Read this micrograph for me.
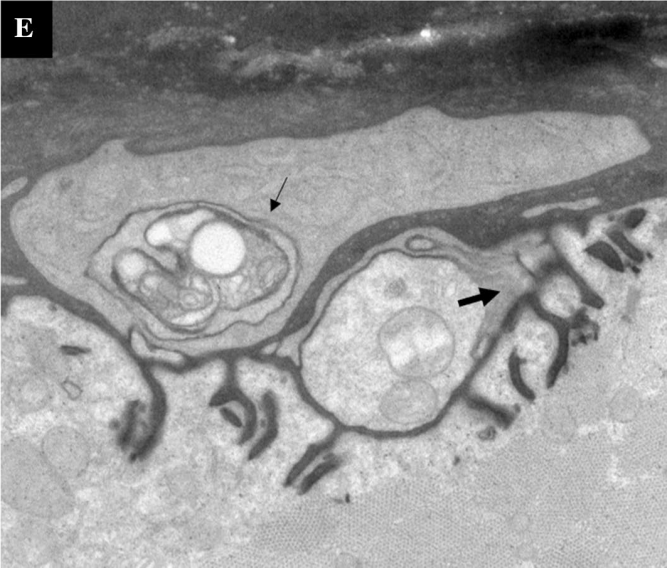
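Neuromuscular junction by transmission electron microscopy with two round profiles beneath a broad pale cytoplasmic cap. On the left, a profile enclosed within that overlying cytoplasm contains a clear vacuole and disorganised membranous debris, consistent with engulfed material. On the right, a nerve terminal with pale mitochondria rests on dark, irregular, branching secondary folds of the muscle membrane; a thin cytoplasmic process intrudes between the terminal and the folds along part of its surface. Muscle sarcoplasm lies below, dense extracellular material above.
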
